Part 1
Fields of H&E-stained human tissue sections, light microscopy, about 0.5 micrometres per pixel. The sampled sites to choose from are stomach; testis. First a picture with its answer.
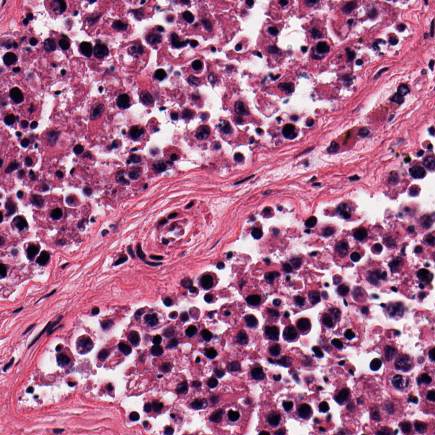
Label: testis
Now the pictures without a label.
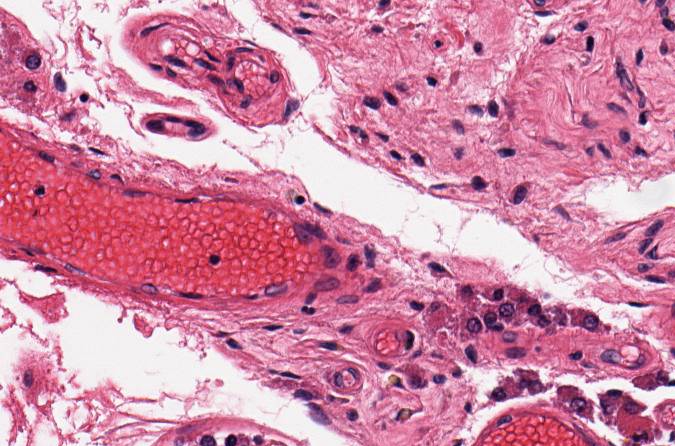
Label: testis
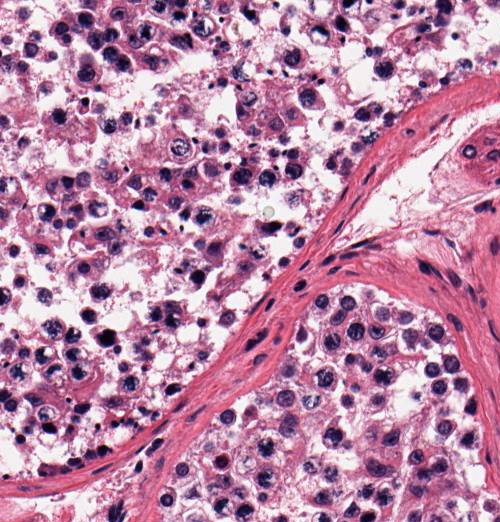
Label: testis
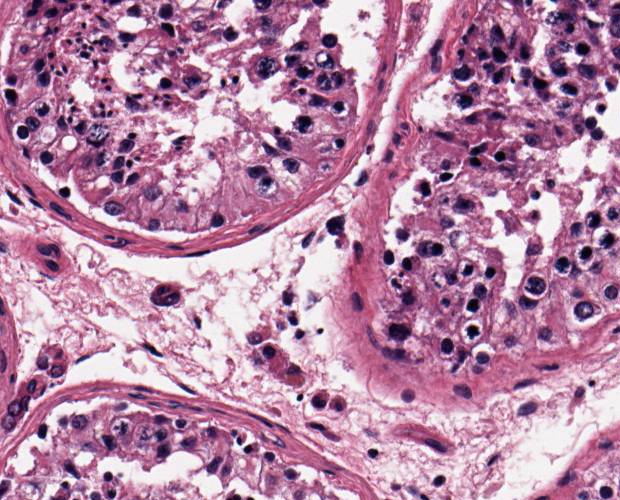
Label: testis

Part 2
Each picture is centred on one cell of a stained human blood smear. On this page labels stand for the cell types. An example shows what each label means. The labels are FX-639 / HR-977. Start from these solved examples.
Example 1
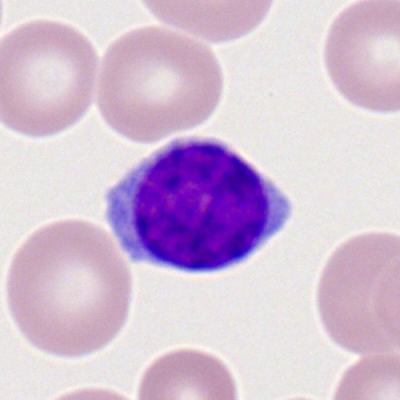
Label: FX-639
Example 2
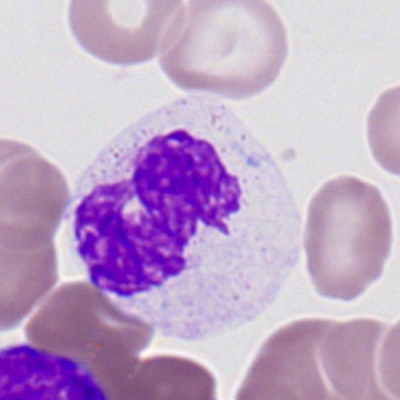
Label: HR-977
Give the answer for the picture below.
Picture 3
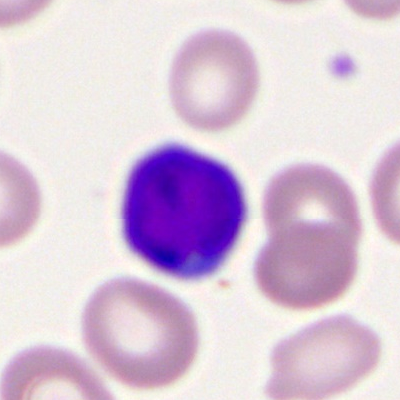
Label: FX-639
